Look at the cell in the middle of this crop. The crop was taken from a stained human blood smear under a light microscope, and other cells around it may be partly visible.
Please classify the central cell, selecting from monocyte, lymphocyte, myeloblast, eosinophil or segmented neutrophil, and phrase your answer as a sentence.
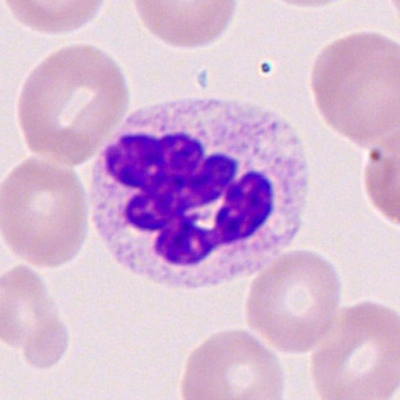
The single cell at the center of the crop is a segmented neutrophil.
